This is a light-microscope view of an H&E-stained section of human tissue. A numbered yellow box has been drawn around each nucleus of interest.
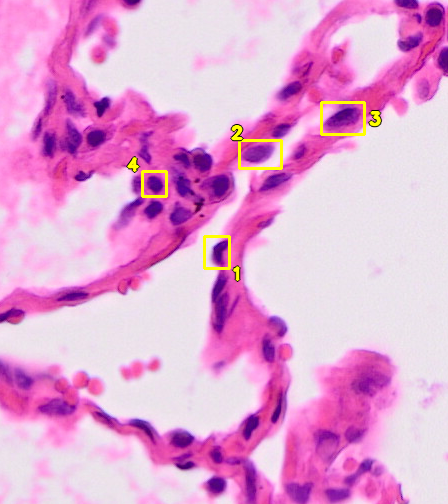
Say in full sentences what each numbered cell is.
Cell 1 is a type I pneumocyte, cell 2 is a type I pneumocyte, cell 3 is a type I pneumocyte and cell 4 is a mast cell.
